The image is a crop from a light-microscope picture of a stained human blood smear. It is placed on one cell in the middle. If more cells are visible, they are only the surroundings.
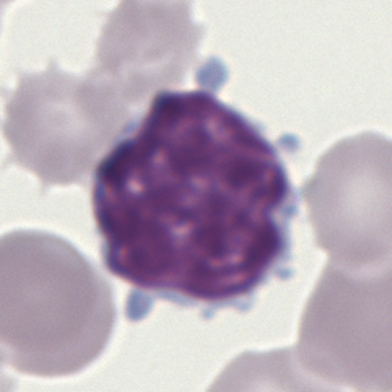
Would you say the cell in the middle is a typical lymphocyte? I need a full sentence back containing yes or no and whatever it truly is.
Yes, the cell found in the center of the crop is a typical lymphocyte.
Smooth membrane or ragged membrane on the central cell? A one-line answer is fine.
The periphery of this cell is uneven, with ragged portions or projections.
